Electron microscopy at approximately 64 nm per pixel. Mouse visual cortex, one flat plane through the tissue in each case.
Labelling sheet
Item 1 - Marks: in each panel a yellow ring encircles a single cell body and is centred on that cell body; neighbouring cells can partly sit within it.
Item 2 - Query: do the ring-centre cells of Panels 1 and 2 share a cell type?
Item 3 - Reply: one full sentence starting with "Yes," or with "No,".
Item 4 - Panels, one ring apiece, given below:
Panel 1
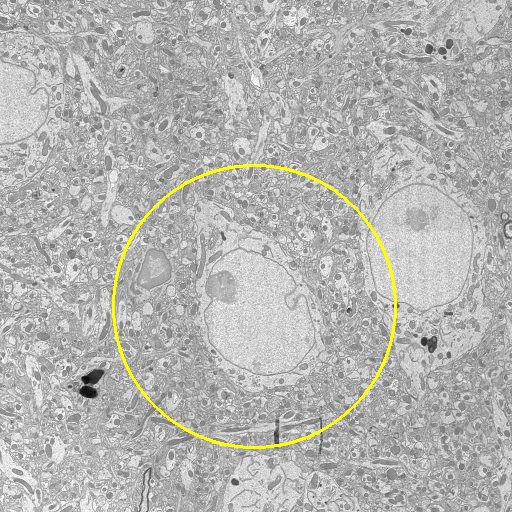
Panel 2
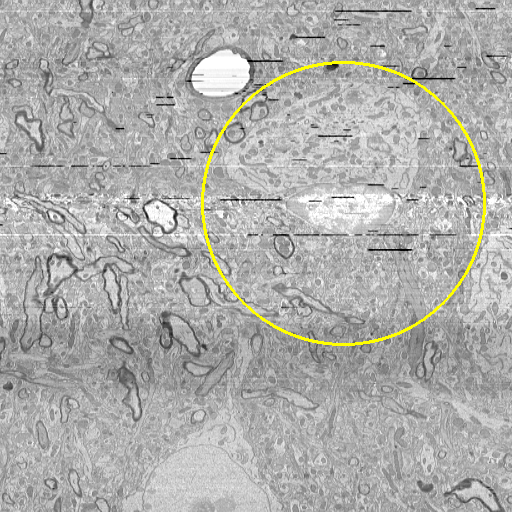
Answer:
No, Panel 1 and Panel 2 show two cell types at the centres of their rings.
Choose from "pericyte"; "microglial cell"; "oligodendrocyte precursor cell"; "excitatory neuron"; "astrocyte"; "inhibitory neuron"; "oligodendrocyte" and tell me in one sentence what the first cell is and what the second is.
What the first ring is centred on is an excitatory neuron; what the second ring is centred on is an oligodendrocyte.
